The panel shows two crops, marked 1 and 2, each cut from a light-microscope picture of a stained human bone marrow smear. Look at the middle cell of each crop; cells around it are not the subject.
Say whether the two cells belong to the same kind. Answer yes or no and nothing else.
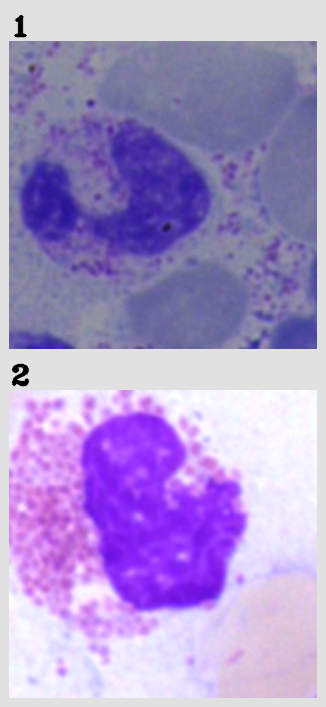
no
